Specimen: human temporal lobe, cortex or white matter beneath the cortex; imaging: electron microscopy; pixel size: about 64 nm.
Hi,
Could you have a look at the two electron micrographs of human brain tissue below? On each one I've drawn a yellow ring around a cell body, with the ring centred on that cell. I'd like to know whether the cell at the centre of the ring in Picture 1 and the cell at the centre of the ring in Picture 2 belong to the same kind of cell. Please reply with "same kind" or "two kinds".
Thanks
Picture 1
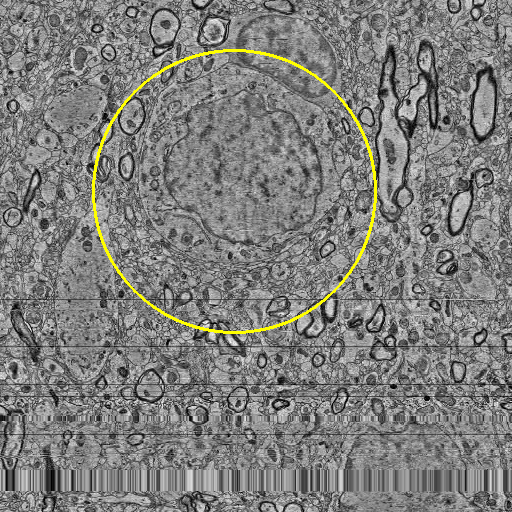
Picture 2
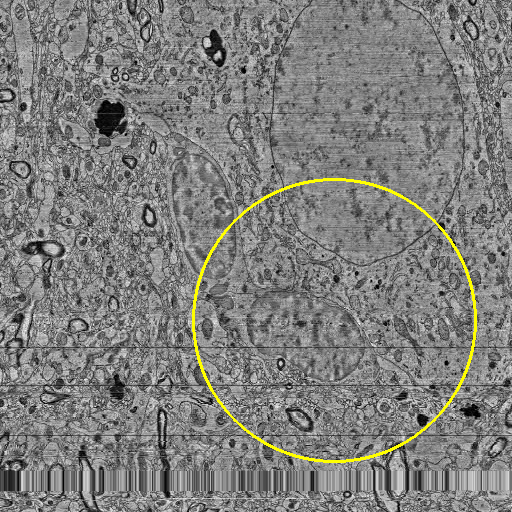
two kinds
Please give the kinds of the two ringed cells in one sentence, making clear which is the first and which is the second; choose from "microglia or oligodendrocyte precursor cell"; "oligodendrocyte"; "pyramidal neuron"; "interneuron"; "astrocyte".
In the second picture the ringed cell is an oligodendrocyte; in the first it is an interneuron.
